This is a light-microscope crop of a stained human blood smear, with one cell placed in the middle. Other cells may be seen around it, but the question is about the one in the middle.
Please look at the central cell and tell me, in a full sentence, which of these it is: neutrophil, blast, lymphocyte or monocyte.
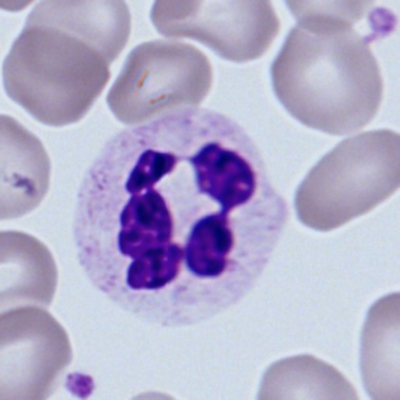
The cell around which this crop is centred is a neutrophil.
